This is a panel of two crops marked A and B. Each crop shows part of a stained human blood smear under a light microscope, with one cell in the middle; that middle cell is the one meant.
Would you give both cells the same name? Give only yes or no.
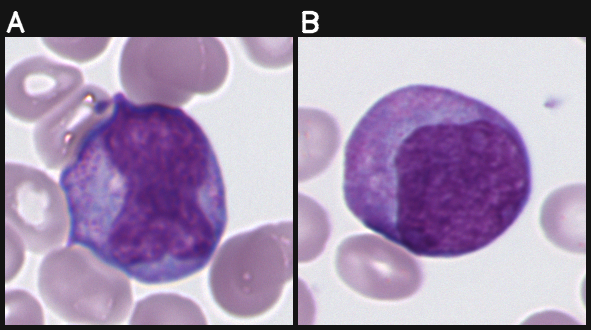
yes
